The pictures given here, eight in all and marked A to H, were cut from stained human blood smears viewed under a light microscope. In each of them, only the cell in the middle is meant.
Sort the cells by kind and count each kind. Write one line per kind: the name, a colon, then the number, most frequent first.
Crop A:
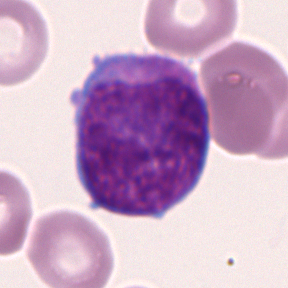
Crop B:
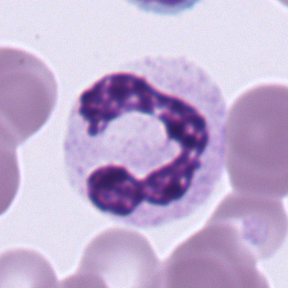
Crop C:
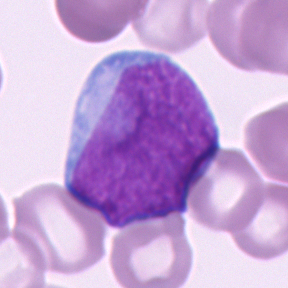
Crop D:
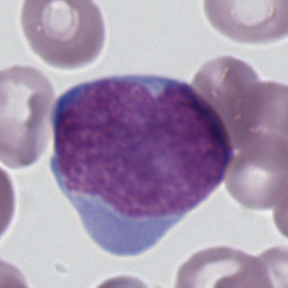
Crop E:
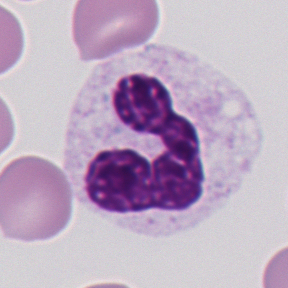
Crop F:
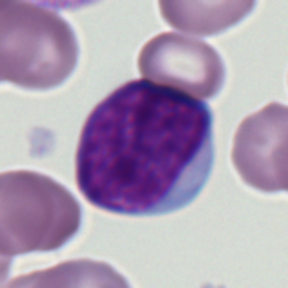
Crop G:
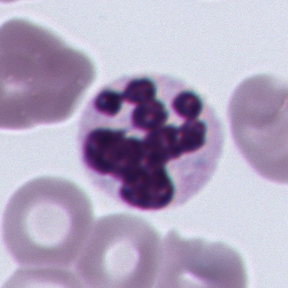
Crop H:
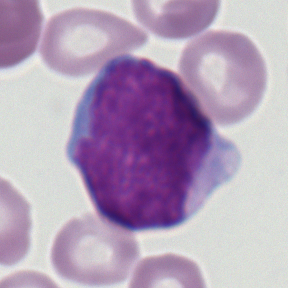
myeloblast: 4
segmented neutrophil: 3
atypical promyelocyte: 1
